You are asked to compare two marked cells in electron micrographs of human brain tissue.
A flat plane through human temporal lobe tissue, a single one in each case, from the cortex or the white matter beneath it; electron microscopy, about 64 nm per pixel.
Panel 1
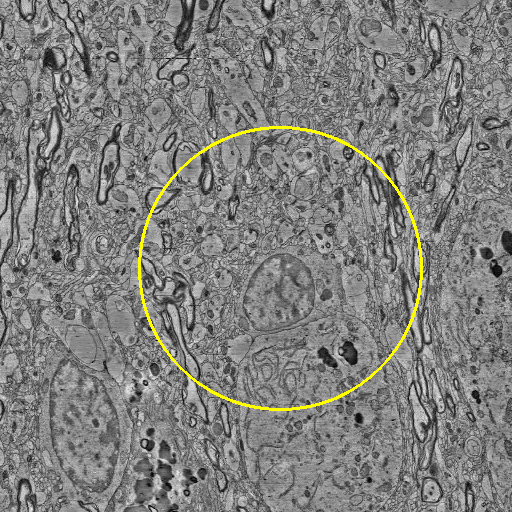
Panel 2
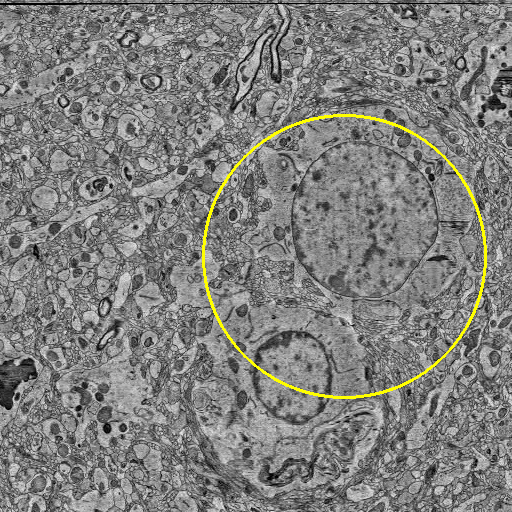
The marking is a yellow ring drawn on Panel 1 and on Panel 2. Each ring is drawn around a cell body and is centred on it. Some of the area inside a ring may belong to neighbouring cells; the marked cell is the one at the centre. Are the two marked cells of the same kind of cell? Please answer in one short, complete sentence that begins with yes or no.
No, the two marked cells are of two kinds.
